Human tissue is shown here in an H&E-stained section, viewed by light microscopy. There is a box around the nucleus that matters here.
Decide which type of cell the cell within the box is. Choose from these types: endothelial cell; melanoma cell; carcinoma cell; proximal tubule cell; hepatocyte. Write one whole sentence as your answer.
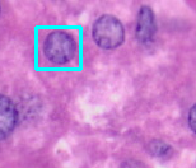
In this tissue sample, the cell within the box is a hepatocyte.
